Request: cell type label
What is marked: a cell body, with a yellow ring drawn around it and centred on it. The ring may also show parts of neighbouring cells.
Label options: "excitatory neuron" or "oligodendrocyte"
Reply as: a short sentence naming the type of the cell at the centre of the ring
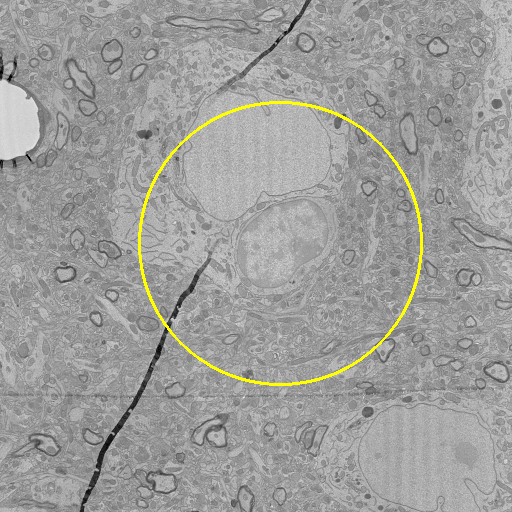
The marked cell body is that of an oligodendrocyte.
